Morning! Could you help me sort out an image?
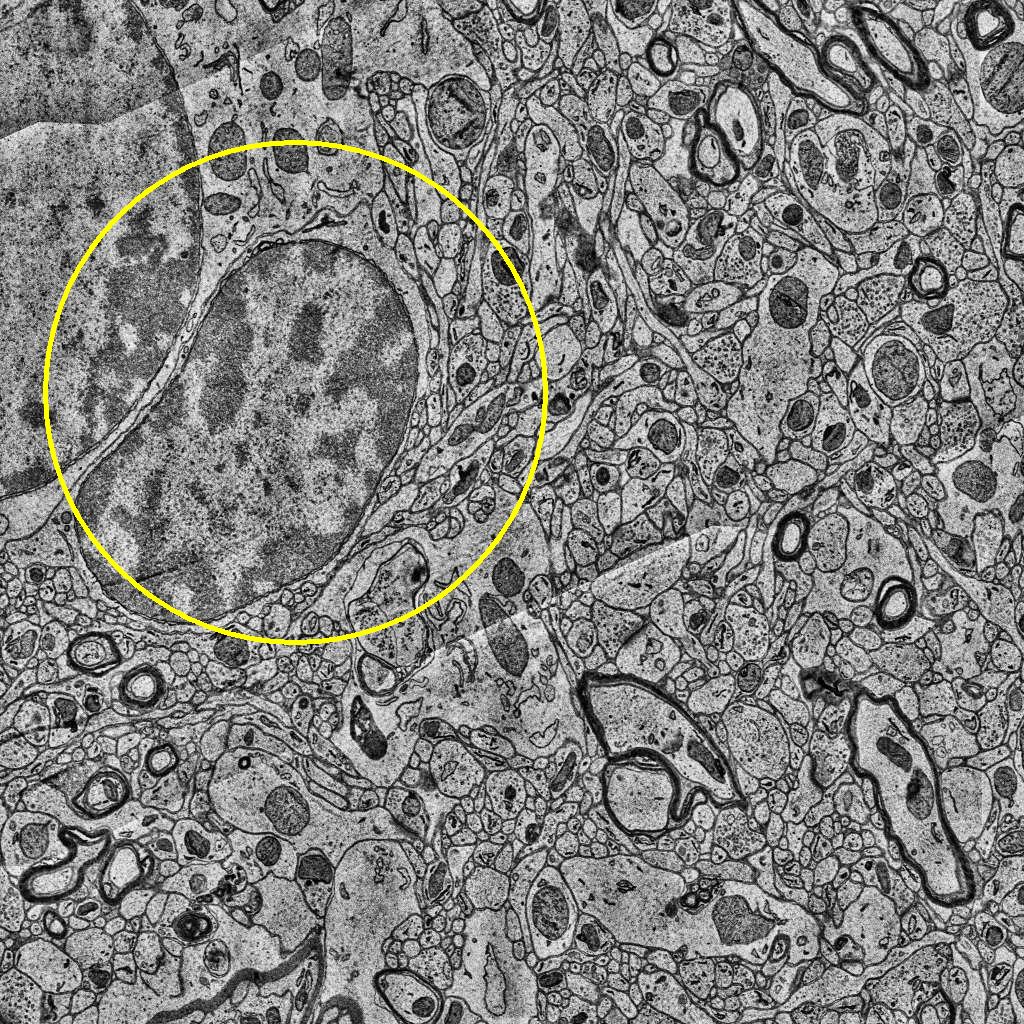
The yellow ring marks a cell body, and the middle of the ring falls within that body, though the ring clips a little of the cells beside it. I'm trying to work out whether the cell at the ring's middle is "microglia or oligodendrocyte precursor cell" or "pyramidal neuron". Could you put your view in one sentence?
The cell body at the ring's middle is that of a microglial cell or oligodendrocyte precursor cell.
